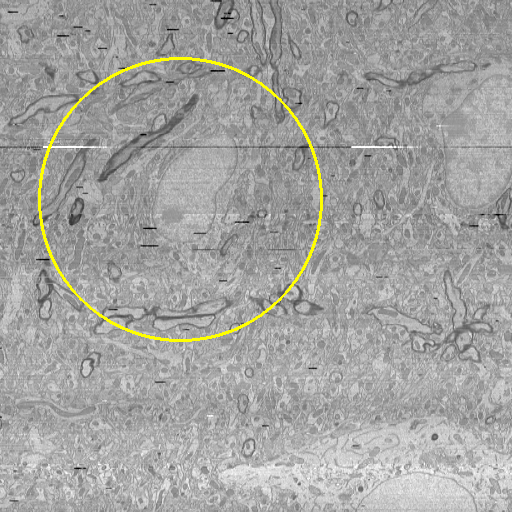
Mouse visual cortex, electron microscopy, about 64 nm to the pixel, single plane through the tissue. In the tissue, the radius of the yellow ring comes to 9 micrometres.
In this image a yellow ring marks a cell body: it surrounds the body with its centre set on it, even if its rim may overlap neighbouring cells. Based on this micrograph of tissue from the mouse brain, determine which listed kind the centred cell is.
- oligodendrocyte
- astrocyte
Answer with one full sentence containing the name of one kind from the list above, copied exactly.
It is an astrocyte whose body the yellow ring encloses at its centre.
